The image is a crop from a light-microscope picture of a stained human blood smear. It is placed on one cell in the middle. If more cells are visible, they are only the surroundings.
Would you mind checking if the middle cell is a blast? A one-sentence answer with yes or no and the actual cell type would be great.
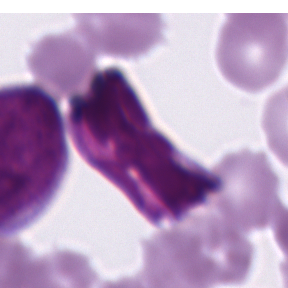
Yes, the cell sitting in the middle of this smear crop is a blast.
